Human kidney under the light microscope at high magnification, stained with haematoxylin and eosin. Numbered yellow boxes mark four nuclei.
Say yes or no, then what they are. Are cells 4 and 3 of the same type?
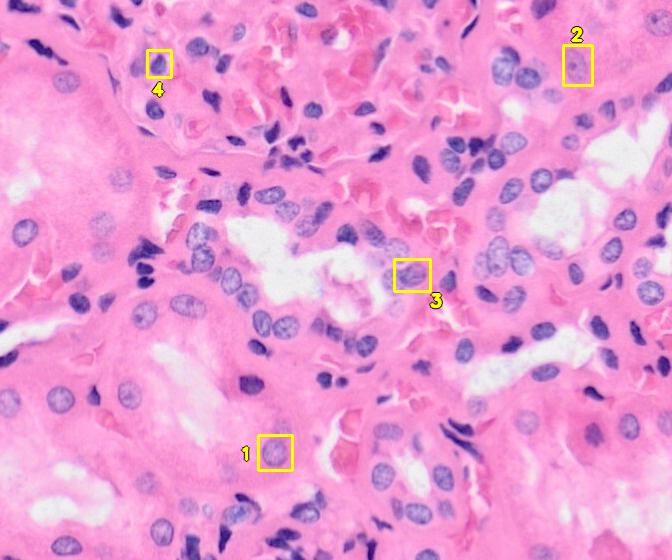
No, that's off: cell 4 is an endothelial cell and cell 3 is a collecting duct cell.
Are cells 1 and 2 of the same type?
Yes, cells 1 and 2 are two proximal tubule cells.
